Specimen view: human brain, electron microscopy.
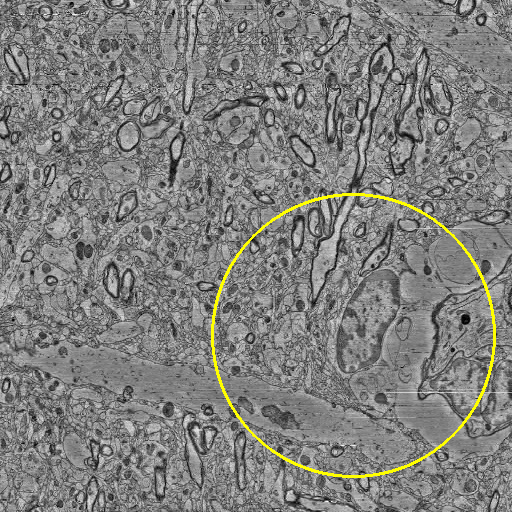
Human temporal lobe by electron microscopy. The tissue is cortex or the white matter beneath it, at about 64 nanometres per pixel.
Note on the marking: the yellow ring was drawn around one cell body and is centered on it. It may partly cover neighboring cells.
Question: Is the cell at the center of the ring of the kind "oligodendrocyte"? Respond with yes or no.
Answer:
no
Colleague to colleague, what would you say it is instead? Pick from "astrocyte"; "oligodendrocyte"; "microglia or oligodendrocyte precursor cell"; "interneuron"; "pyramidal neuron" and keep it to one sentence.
So the cell at the centre is a microglial cell or oligodendrocyte precursor cell.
